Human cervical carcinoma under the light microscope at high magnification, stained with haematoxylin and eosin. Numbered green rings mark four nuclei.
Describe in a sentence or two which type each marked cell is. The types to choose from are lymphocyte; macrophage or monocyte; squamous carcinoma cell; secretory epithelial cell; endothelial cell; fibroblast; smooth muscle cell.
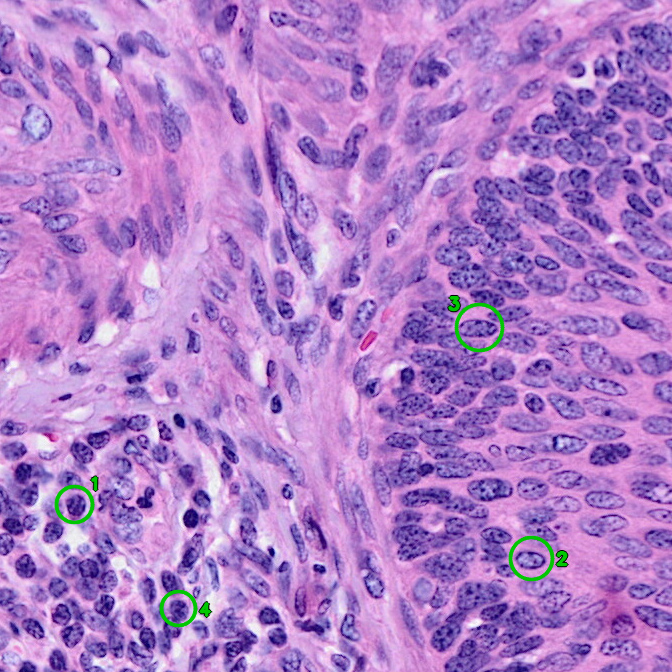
Cell 1 is a lymphocyte, cell 2 is a squamous carcinoma cell, cell 3 is a squamous carcinoma cell and cell 4 is a lymphocyte.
